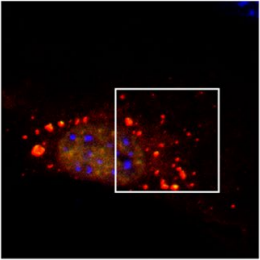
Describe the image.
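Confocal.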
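The nucleus lies centrally, with faint diffuse orange fluorescence and a few blue spots. Around it, bright red puncta of various sizes, some large and rounded, are scattered through the cytoplasm, more numerous on one side of the nucleus. Only a few puncta appear yellow or orange. The cell outline is faint, the cytoplasm otherwise dark.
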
